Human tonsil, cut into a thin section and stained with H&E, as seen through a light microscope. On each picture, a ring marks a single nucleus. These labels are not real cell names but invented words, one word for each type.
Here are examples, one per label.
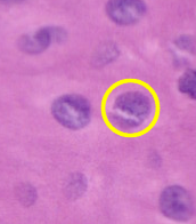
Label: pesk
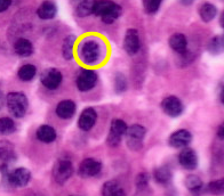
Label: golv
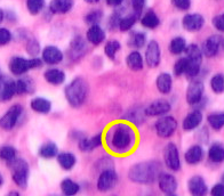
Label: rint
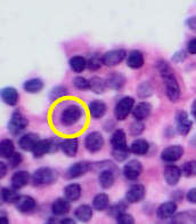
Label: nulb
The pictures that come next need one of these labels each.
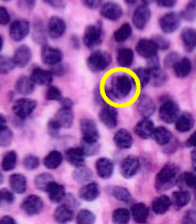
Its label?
nulb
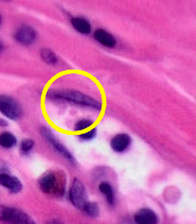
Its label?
rint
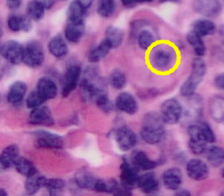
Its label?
rint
